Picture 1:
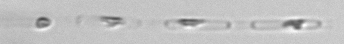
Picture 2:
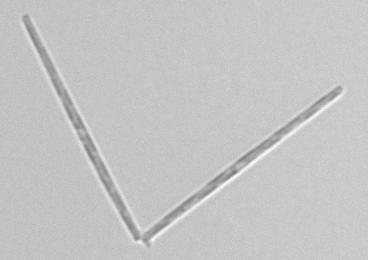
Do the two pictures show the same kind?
No: Skeletonema, then Thalassionema.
